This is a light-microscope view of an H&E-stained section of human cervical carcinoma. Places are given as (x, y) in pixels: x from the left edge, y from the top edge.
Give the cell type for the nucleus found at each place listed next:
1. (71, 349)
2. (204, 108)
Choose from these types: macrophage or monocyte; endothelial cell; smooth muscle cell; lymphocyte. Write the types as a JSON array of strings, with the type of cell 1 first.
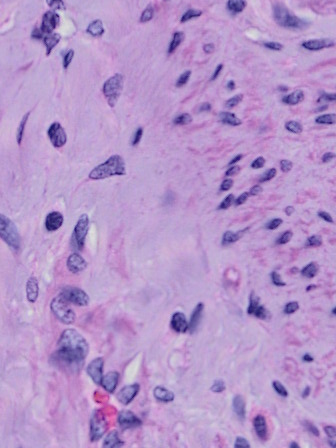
["endothelial cell", "smooth muscle cell"]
